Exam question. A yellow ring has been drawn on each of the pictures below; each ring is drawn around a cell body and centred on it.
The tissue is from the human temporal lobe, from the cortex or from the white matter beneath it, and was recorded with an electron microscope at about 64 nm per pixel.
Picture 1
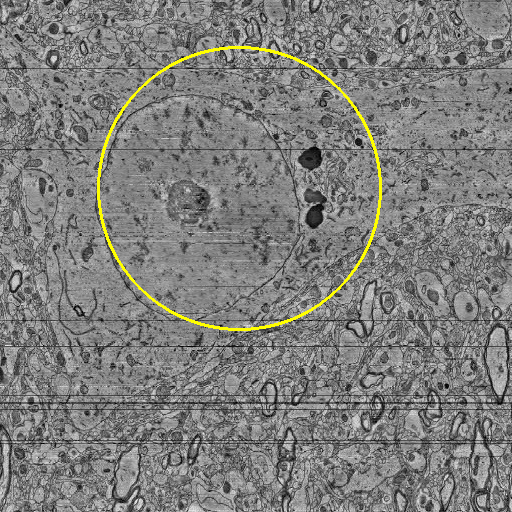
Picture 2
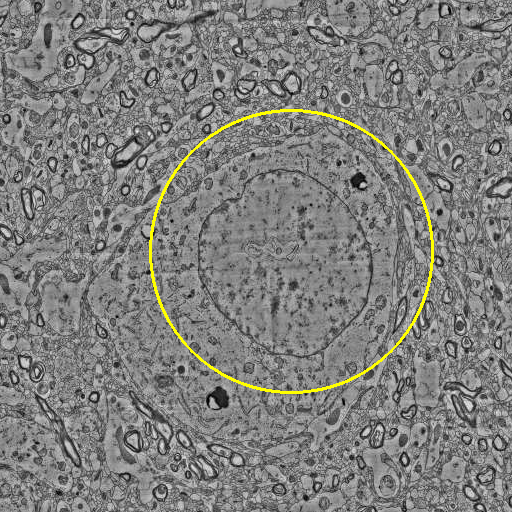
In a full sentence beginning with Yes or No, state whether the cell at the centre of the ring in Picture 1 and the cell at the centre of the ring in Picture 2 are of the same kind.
Yes, the two cells are of the same kind.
